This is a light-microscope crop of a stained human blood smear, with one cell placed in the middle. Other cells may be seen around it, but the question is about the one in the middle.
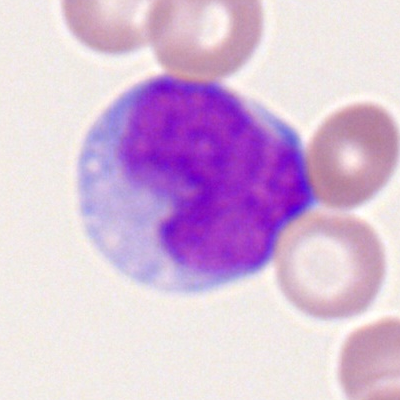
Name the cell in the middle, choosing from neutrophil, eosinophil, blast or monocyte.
blast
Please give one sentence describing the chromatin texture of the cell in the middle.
There is no coarse clumping; the chromatin stays fine throughout.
